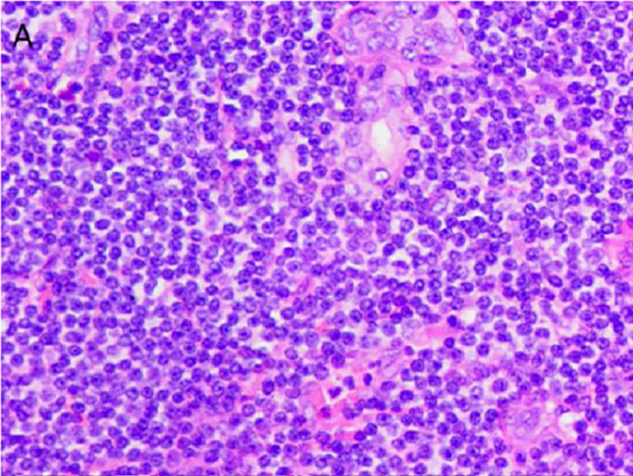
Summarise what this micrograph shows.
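This is a small round cell tumor made of densely packed lymphoid-looking cells that grow in diffuse sheets. The cells are small and fairly uniform, with round, darkly purple-stained nuclei and only a thin rim of pale cytoplasm, so nuclei dominate the field. They lie crowded against one another with no glandular or layered arrangement. Between them run only scattered thin strands of pink stroma and a few small vessels with pink walls. No normal organ structure is preserved in the field; the architecture is effaced by the monotonous cell population.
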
